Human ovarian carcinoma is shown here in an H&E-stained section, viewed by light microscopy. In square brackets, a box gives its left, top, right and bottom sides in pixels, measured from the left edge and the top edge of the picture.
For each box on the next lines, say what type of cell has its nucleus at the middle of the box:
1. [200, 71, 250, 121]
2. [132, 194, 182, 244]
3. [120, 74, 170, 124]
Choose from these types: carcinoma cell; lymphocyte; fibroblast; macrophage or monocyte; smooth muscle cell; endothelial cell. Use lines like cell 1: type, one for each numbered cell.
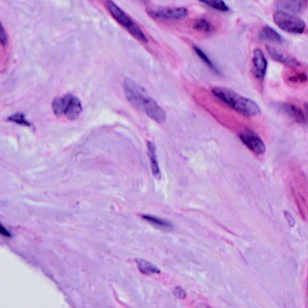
cell 1: smooth muscle cell
cell 2: fibroblast
cell 3: fibroblast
